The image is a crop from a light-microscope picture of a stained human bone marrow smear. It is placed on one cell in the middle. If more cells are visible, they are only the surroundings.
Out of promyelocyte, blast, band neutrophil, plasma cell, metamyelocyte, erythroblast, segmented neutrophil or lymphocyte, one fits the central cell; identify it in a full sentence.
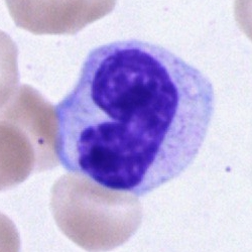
The central cell, amid any neighbouring cells, is a metamyelocyte.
